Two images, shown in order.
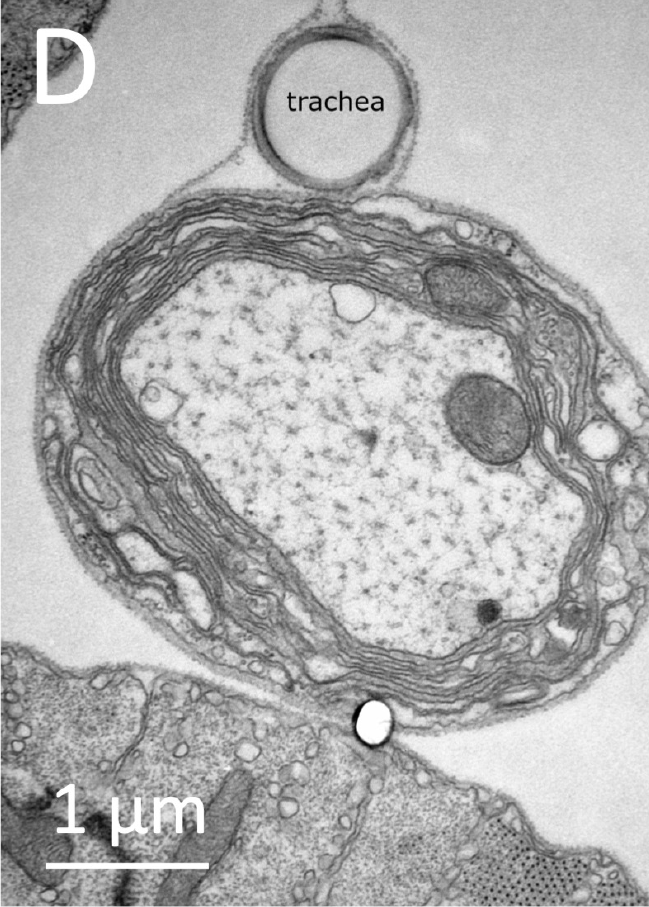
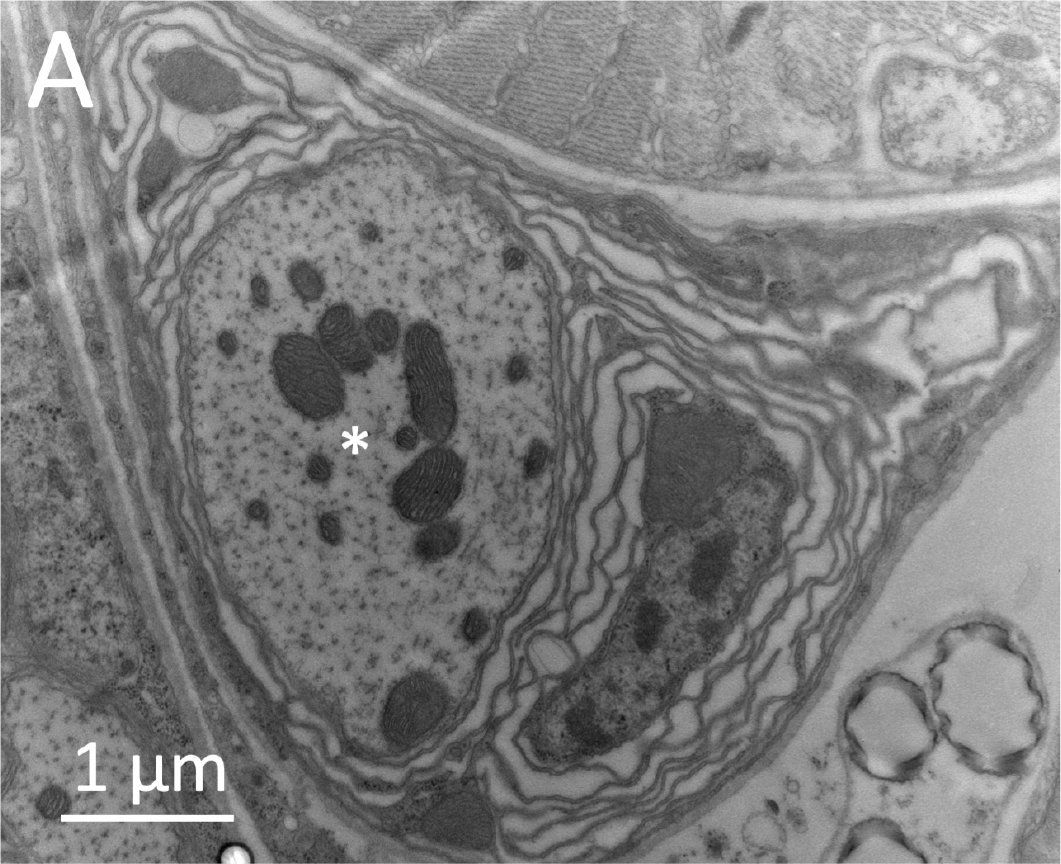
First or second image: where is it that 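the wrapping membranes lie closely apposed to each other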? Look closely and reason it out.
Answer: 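The first image. First image: the membrane layers around the central profile are tightly stacked with little space between them. Second image: the membrane layers are separated by wide, irregular pale spaces.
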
